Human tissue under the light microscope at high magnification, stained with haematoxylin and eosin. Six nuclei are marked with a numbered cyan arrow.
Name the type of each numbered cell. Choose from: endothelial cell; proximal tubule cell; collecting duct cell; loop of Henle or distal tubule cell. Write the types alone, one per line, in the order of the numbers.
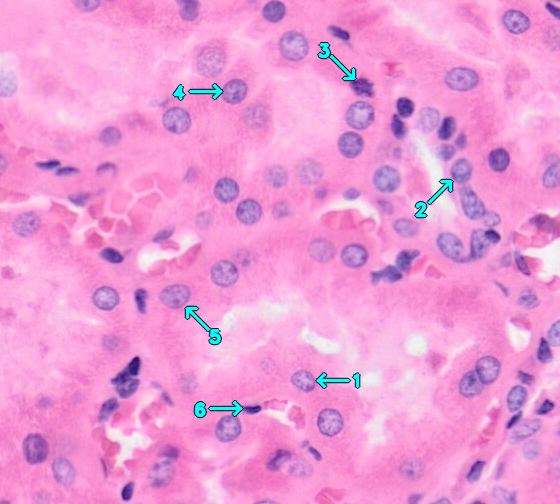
proximal tubule cell
collecting duct cell
proximal tubule cell
proximal tubule cell
proximal tubule cell
endothelial cell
